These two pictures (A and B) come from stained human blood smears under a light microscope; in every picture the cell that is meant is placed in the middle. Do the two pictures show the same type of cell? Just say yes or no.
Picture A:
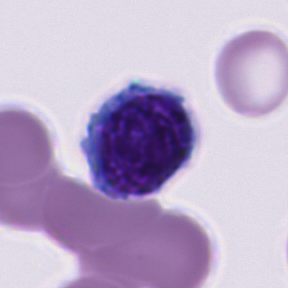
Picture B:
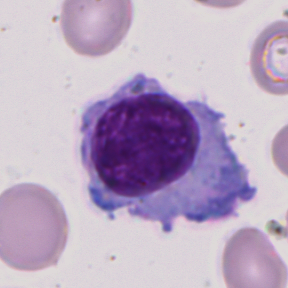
yes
